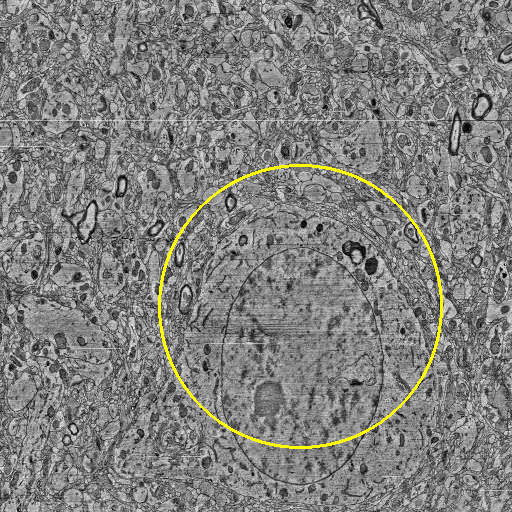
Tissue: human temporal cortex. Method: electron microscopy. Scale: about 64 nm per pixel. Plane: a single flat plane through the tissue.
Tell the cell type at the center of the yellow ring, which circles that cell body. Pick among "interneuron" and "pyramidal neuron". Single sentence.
The ring is centered on the body of a pyramidal neuron.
